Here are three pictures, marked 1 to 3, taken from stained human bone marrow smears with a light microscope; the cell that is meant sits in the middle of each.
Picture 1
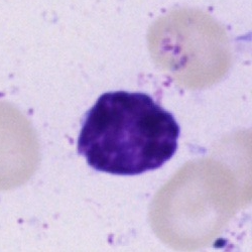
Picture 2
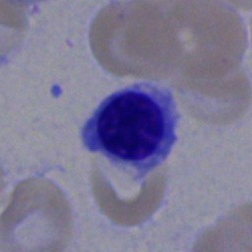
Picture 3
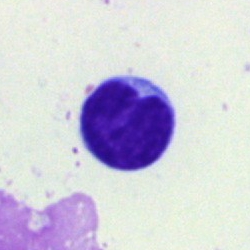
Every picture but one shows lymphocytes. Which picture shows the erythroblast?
2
